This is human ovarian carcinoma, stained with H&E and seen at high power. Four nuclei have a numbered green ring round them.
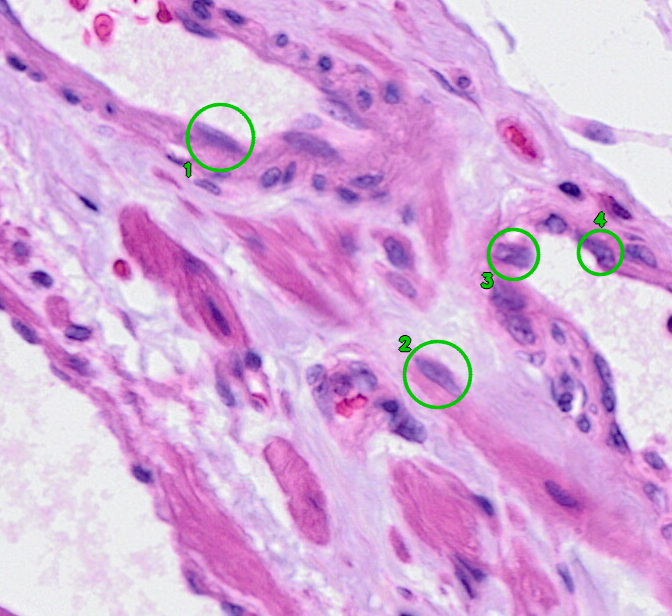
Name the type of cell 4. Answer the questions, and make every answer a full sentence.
The cell pointed out as number 4 is an endothelial cell.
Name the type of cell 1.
The cell with the number 1 is an endothelial cell.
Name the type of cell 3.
The nucleus with number 3 is that of an endothelial cell.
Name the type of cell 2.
Looking at the numbered marks, cell 2 is a smooth muscle cell.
